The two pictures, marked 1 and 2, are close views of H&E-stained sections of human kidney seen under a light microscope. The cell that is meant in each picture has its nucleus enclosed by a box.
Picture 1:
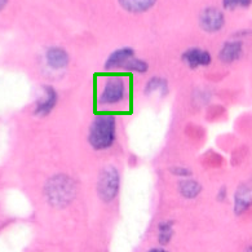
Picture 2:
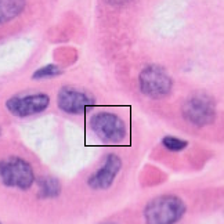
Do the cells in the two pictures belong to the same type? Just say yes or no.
yes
